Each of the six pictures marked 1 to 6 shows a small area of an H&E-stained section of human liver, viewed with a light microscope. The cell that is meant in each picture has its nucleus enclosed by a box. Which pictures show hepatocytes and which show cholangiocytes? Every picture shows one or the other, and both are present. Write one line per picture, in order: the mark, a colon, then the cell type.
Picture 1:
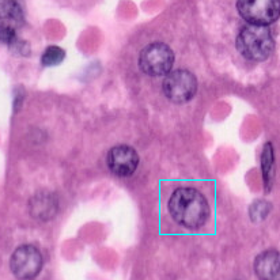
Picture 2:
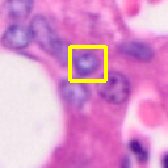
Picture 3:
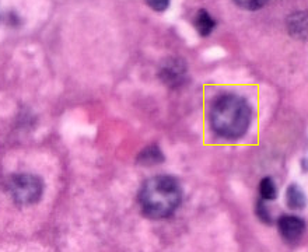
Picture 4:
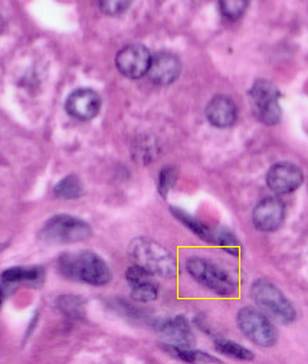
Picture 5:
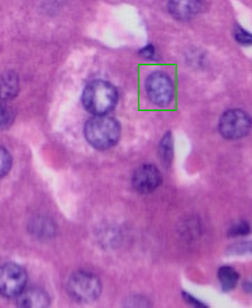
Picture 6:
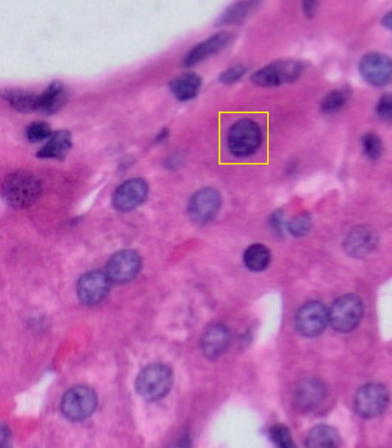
1: hepatocyte
2: cholangiocyte
3: hepatocyte
4: cholangiocyte
5: cholangiocyte
6: hepatocyte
